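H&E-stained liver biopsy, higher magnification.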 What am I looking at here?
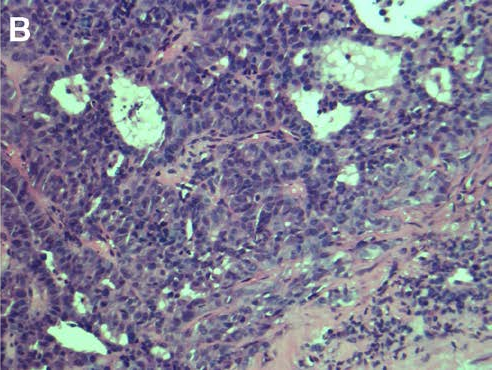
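An epithelial tumor is seen with crowded cells in solid sheets and around clear, gland-like lumens. The tumor cells have enlarged, dark purple nuclei that vary in size and shape, with scant pink cytoplasm. Pink fibrous stroma runs between the cell nests, most clearly at the lower right.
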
